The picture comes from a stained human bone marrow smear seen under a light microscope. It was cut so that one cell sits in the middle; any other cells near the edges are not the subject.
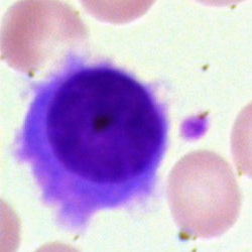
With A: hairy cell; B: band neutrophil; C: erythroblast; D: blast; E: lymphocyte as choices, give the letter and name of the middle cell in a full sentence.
Option A is correct, naming the cell in the middle as a hairy cell.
